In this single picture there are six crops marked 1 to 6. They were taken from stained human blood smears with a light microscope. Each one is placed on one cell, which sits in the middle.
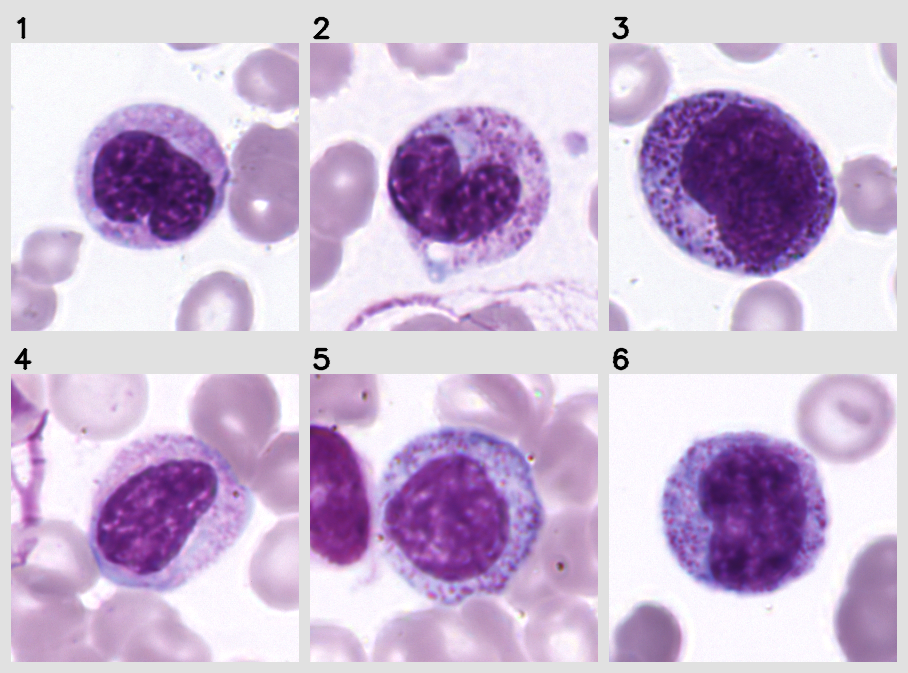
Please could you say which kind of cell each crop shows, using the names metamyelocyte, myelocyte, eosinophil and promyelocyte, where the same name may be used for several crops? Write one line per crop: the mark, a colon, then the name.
1: metamyelocyte
2: metamyelocyte
3: promyelocyte
4: metamyelocyte
5: myelocyte
6: myelocyte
